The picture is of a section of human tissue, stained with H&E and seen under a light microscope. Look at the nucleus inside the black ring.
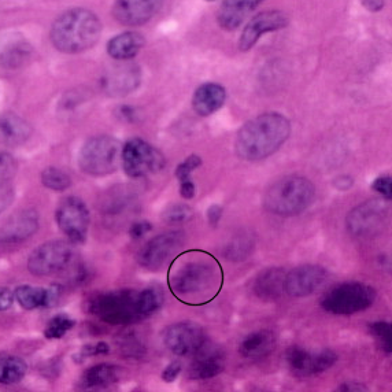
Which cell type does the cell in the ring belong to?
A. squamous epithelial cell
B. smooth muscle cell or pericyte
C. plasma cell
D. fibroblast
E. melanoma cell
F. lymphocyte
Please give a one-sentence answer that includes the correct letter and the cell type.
The correct option is A, and the cell in the ring is a squamous epithelial cell.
